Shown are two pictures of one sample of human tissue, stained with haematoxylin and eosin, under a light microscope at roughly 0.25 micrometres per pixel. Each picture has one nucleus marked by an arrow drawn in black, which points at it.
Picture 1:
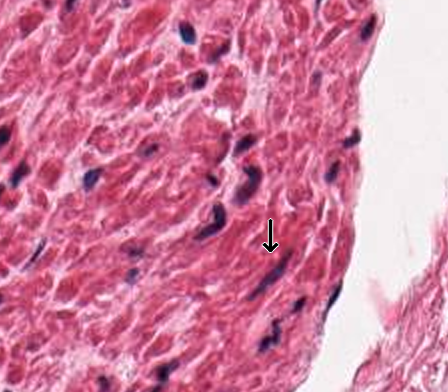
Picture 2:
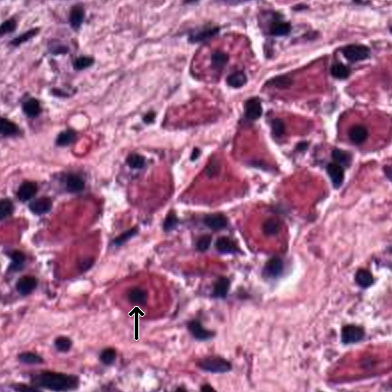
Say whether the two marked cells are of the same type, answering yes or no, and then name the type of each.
No, the first is a smooth muscle cell and the second a parietal cell.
